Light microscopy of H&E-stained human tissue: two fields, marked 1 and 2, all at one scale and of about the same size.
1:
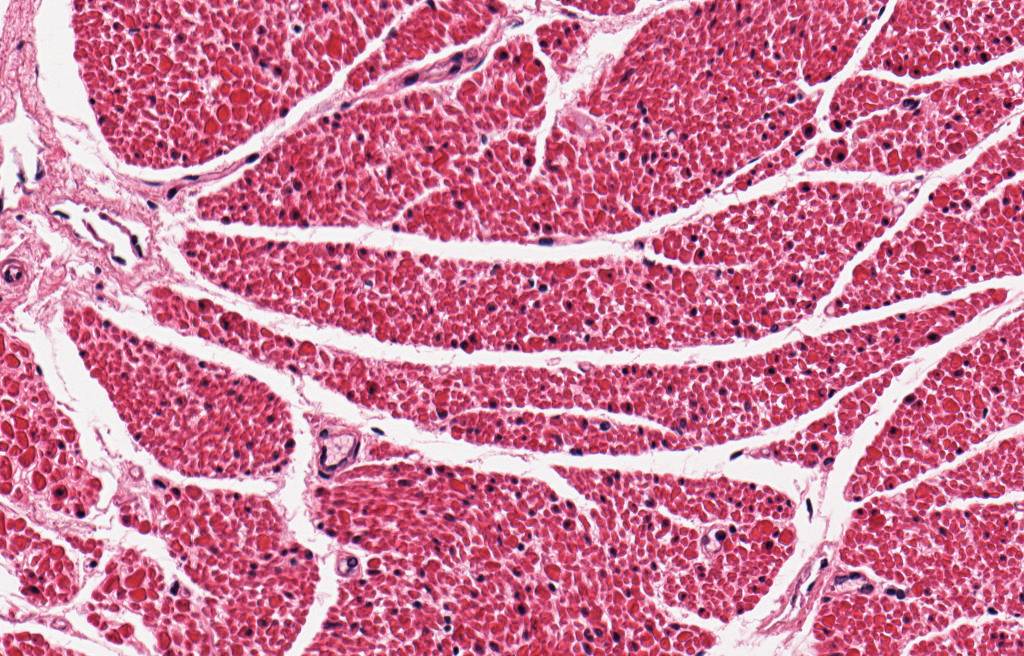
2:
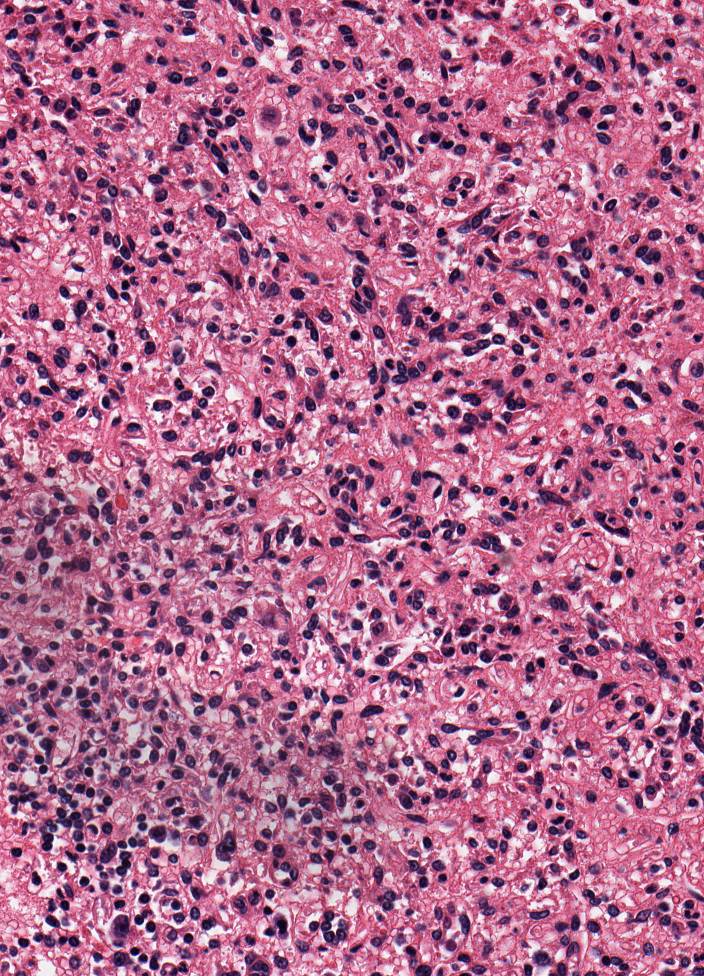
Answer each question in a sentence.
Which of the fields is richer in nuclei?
It is picture 2 that has more nuclei in it.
